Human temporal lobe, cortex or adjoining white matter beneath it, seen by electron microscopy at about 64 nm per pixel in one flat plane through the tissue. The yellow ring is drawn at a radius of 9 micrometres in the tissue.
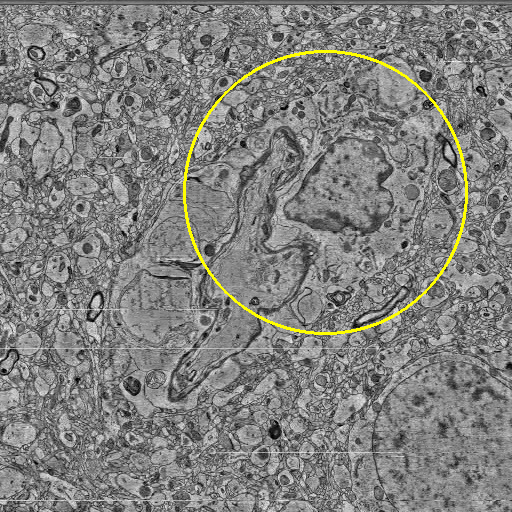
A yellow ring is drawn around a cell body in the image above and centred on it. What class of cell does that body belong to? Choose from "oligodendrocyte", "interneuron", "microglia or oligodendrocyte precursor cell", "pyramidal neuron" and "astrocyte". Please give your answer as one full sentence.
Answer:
The yellow ring above is centred on the cell body of a microglial cell or oligodendrocyte precursor cell.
